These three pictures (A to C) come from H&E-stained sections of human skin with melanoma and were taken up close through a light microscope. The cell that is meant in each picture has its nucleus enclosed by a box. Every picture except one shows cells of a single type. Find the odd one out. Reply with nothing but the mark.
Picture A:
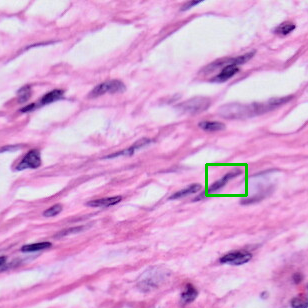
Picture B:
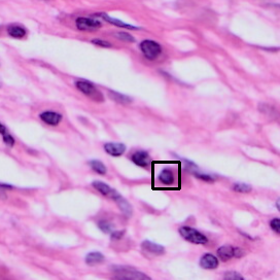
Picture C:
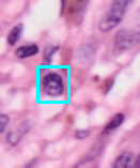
A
